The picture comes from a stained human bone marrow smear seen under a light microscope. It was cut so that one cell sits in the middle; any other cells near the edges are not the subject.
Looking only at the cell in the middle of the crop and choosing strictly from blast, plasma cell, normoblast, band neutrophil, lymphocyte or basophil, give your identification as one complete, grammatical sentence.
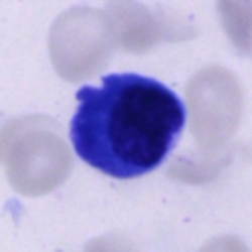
Of the cells in this crop, the central one is a plasma cell.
